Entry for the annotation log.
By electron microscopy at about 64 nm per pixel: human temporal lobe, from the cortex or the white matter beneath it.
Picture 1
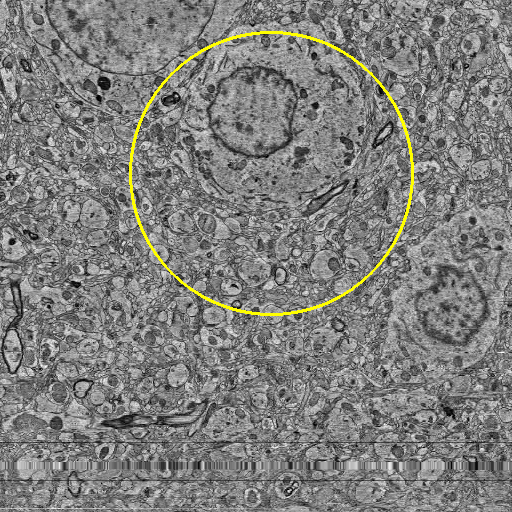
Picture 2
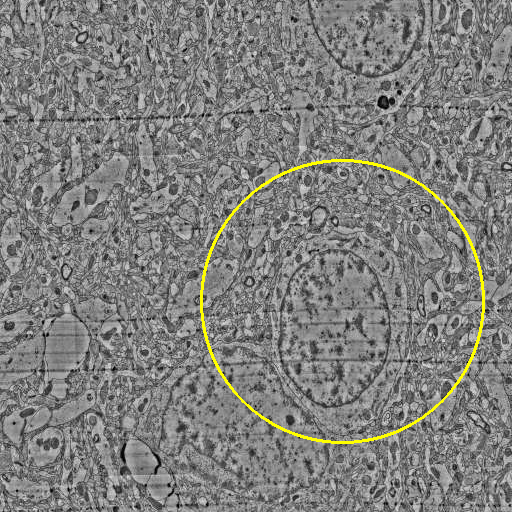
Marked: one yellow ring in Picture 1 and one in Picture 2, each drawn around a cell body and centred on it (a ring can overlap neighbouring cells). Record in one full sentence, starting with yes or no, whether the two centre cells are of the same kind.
Yes, both cells are of the same kind.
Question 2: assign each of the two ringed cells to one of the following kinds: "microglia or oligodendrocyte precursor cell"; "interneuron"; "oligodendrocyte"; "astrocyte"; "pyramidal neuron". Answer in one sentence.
The cell in the first picture is a pyramidal neuron, and so is the one in the second.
